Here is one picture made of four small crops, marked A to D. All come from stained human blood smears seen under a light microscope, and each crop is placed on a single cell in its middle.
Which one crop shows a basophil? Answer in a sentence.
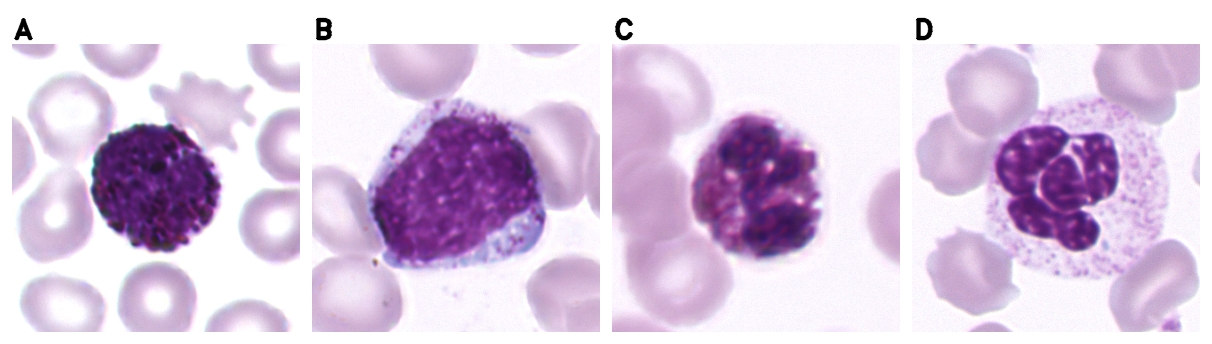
Crop A is the one that shows a basophil.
